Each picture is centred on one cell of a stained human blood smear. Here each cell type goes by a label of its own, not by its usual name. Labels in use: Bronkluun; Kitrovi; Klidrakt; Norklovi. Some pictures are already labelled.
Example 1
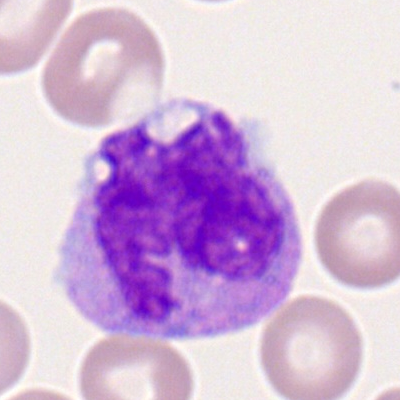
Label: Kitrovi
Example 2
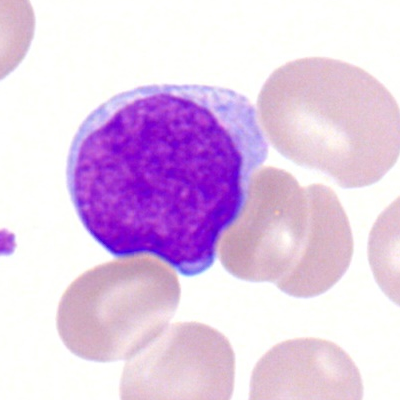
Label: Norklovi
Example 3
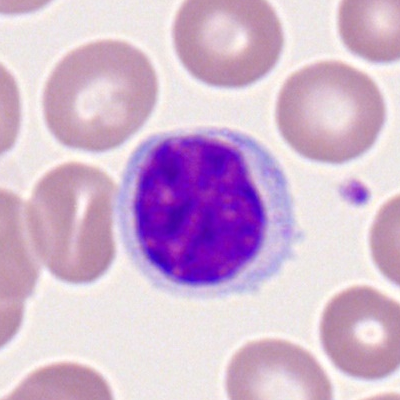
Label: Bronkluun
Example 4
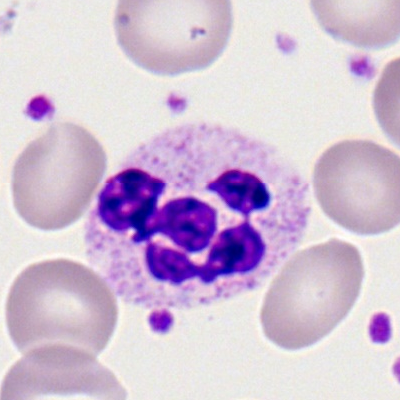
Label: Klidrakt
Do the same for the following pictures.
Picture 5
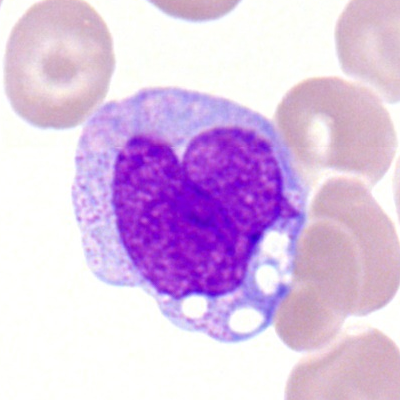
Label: Kitrovi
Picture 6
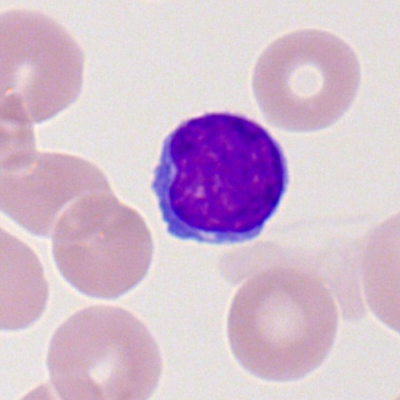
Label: Bronkluun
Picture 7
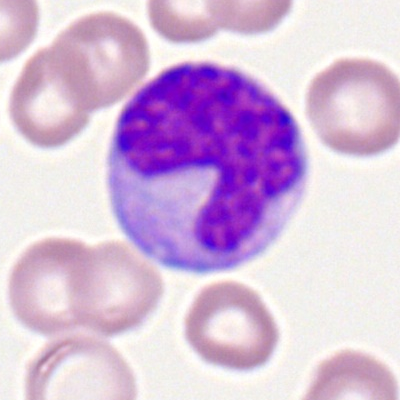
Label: Kitrovi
